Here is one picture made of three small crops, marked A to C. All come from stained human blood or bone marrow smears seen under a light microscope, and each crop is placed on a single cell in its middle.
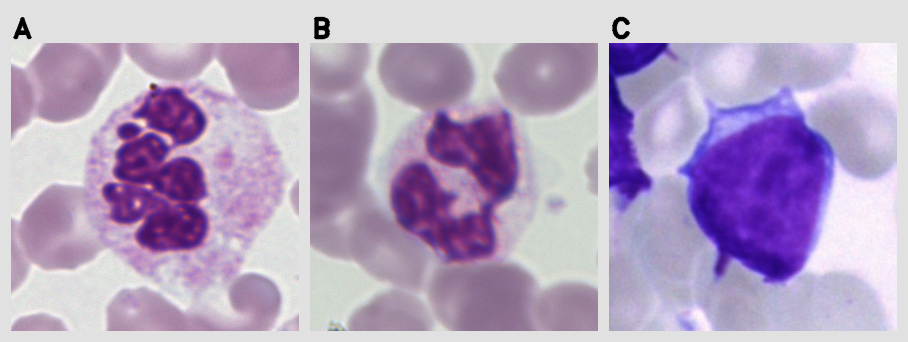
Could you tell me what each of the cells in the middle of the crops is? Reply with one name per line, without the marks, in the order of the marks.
segmented neutrophil
segmented neutrophil
blast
